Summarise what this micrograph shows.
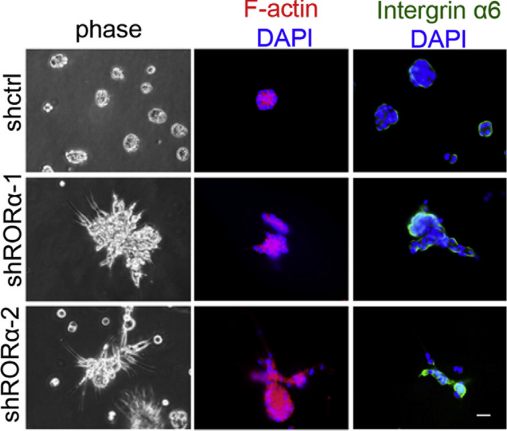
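Epithelial cell colonies grown in three-dimensional culture are shown in phase contrast and fluorescence. In the top row the colonies are small, round and compact, with green staining along their outer rim; in the lower rows the colonies are larger and irregular, sending out branching strands and thin projections of cells into the surrounding matrix.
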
